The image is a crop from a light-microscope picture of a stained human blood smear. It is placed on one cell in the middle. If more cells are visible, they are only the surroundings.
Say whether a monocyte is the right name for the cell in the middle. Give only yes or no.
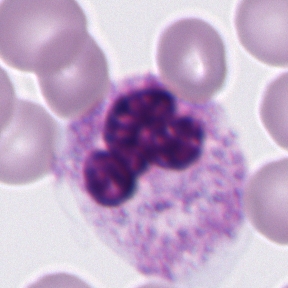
no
